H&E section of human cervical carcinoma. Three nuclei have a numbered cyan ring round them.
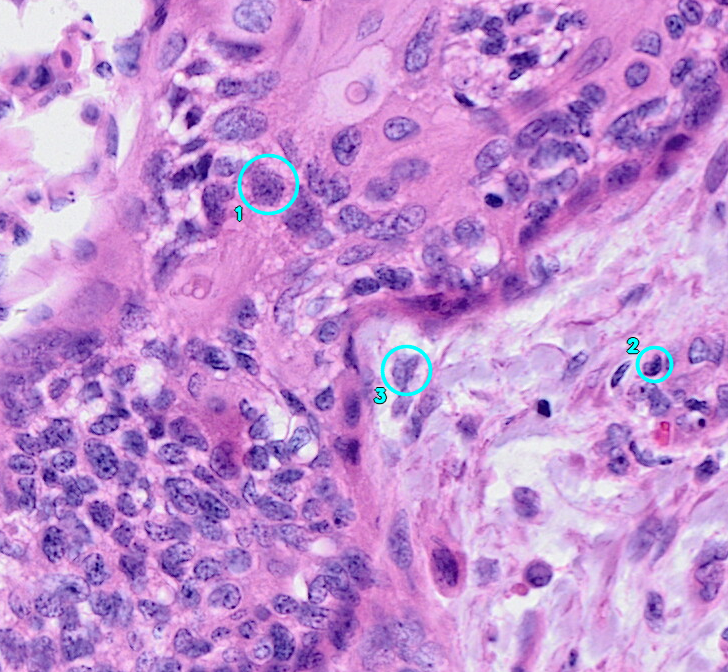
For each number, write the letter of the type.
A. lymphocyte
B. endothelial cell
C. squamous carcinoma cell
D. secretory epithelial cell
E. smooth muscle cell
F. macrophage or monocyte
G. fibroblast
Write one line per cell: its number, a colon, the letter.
1: C
2: A
3: G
